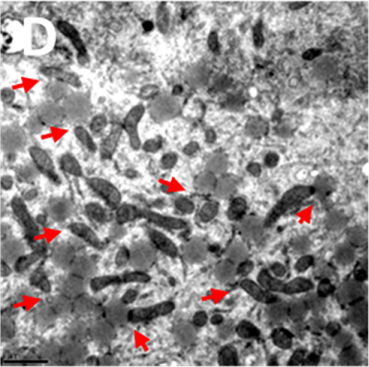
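At lower magnification, the cytoplasm is crowded with many dark, rod-shaped and elongated mitochondria. Numerous pale grey, round lipid bodies are scattered among them, many lying in contact with the mitochondria.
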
